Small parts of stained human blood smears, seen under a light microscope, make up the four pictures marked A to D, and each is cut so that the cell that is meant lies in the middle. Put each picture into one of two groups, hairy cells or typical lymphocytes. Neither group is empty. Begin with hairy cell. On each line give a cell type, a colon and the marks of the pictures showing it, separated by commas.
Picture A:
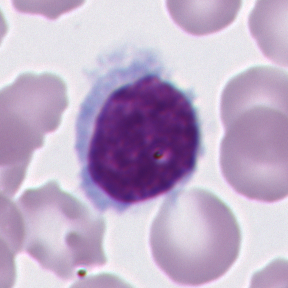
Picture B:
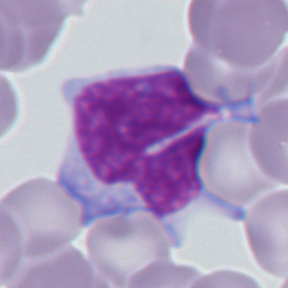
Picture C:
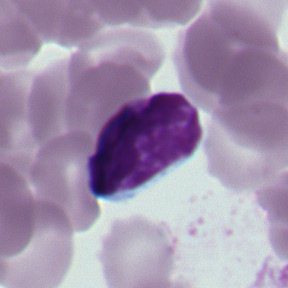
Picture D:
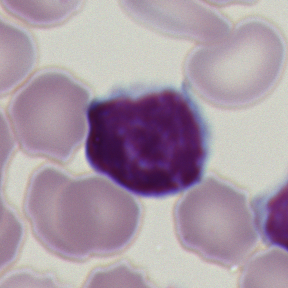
hairy cell: A
typical lymphocyte: B, C, D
